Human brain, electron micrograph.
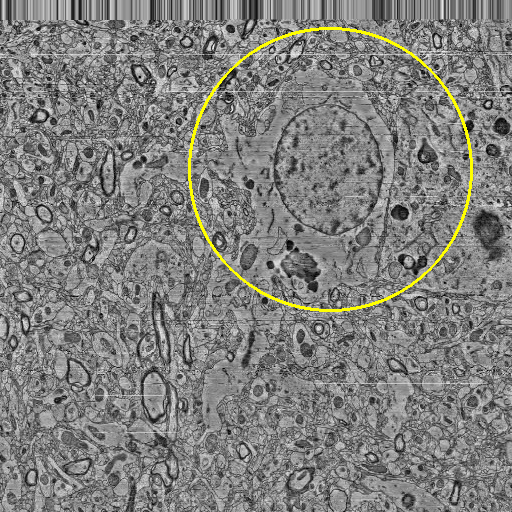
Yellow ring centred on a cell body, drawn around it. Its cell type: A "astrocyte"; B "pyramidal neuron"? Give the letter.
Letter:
A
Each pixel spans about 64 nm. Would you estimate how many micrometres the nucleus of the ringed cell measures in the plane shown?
About 9 by 7 micrometers, in this plane.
